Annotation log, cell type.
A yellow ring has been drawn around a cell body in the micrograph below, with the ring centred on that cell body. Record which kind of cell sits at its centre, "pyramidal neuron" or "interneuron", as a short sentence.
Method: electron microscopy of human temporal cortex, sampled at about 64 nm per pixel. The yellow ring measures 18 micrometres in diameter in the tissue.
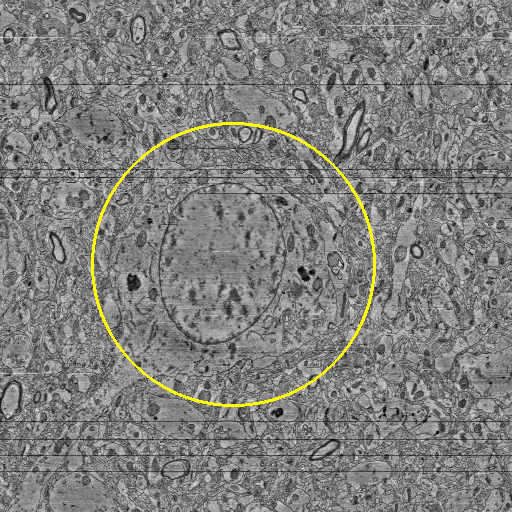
The cell at the centre of this ring is a pyramidal neuron.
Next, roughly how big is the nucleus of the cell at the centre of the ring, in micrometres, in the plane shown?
About 11 by 8 micrometers, in this plane.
